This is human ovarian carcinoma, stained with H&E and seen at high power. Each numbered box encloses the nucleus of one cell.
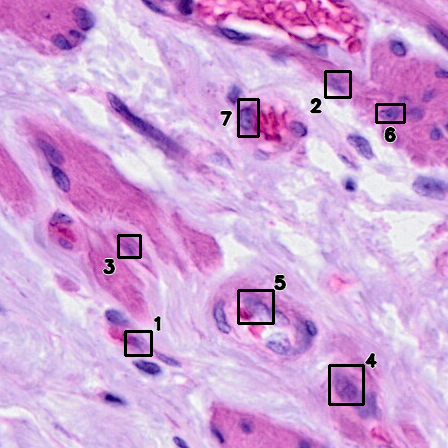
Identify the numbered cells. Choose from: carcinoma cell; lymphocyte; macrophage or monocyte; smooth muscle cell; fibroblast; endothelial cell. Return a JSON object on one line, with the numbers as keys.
{"1": "endothelial cell", "2": "smooth muscle cell", "3": "smooth muscle cell", "4": "endothelial cell", "5": "endothelial cell", "6": "smooth muscle cell", "7": "endothelial cell"}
